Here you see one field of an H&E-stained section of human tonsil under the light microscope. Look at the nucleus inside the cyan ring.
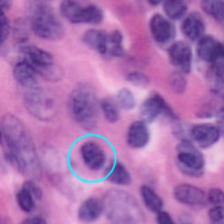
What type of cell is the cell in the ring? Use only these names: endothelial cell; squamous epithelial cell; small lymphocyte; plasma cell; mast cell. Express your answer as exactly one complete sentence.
As classified here, the cell in the ring is an endothelial cell.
